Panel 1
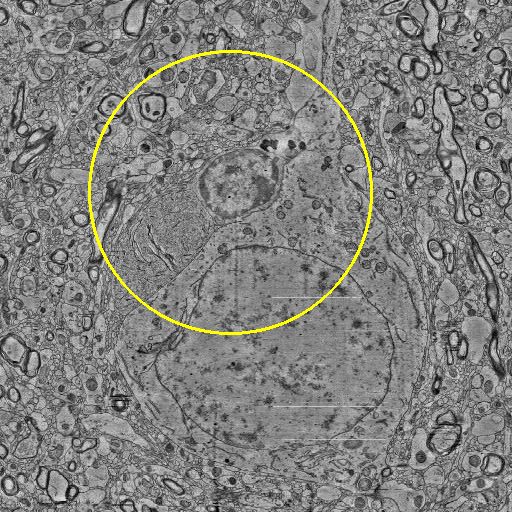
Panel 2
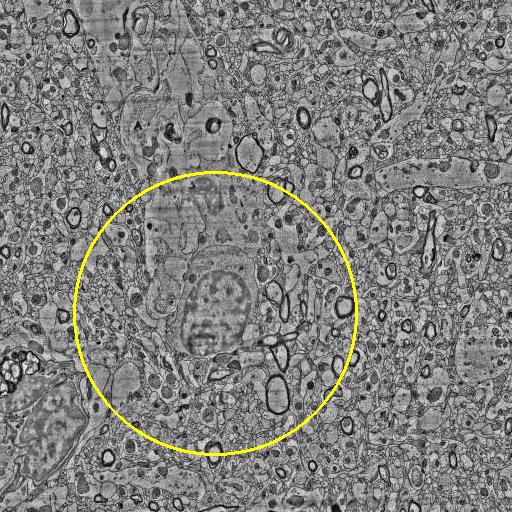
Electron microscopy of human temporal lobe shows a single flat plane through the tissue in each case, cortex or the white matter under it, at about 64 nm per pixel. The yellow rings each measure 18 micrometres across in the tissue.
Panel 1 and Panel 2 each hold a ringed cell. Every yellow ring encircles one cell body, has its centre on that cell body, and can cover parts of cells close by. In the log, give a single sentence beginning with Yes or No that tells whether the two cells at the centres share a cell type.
Yes, in Panel 1 and Panel 2 the centred cells share a cell type.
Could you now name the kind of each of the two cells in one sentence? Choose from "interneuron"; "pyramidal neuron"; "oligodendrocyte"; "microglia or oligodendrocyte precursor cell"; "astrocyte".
Each cell at the centre of a ring is an oligodendrocyte.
